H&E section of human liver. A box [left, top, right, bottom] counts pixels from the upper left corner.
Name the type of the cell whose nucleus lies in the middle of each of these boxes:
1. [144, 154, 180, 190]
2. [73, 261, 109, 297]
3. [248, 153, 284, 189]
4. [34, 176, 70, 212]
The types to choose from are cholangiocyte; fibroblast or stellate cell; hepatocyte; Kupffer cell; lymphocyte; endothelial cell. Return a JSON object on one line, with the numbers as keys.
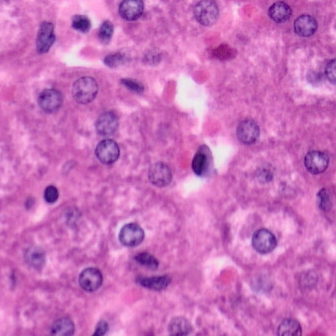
{"1": "hepatocyte", "2": "hepatocyte", "3": "hepatocyte", "4": "lymphocyte"}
